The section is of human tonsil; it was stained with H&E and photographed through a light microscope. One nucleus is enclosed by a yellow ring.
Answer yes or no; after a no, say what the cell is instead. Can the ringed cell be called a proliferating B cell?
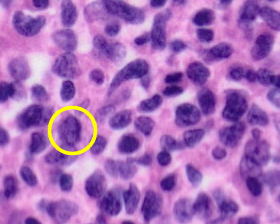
Yes.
